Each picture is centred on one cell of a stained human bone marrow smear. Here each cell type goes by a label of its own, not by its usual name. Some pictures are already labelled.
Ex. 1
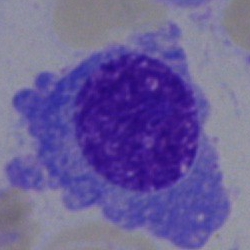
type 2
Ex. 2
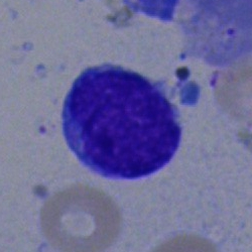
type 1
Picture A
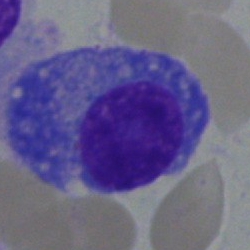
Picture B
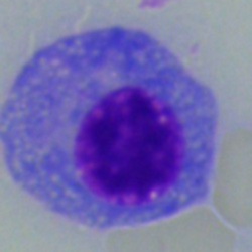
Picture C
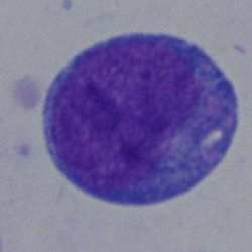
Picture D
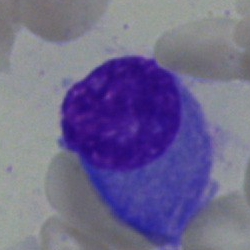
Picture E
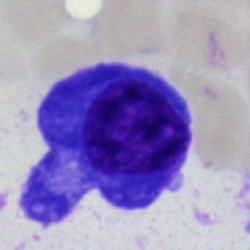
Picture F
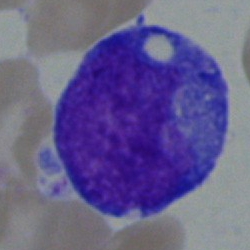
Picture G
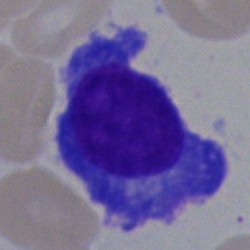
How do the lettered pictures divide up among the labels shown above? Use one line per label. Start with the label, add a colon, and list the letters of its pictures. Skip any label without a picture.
type 2: A, B, D, E, G
type 1: C, F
